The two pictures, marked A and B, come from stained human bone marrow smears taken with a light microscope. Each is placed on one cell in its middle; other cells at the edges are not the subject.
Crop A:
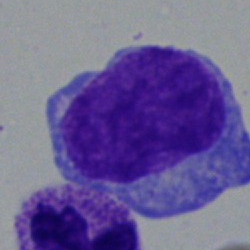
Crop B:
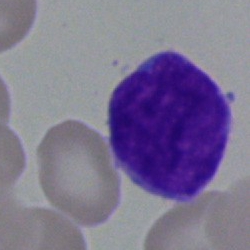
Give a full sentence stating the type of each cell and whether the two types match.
Yes, it is blasts that sit at the centre of both crops.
